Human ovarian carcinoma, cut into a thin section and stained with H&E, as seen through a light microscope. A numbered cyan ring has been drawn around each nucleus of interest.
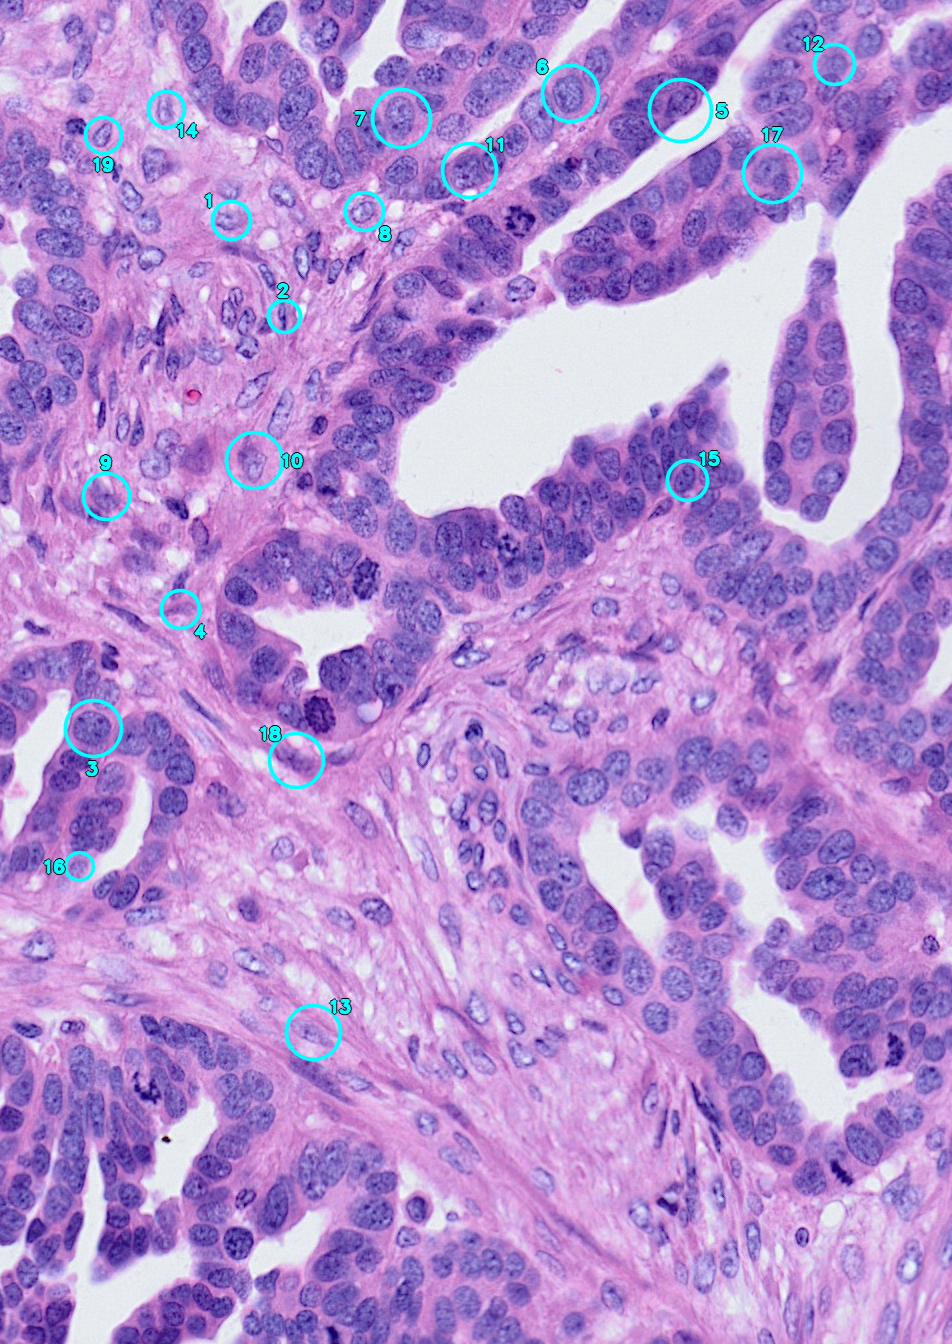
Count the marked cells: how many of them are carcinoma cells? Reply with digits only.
9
